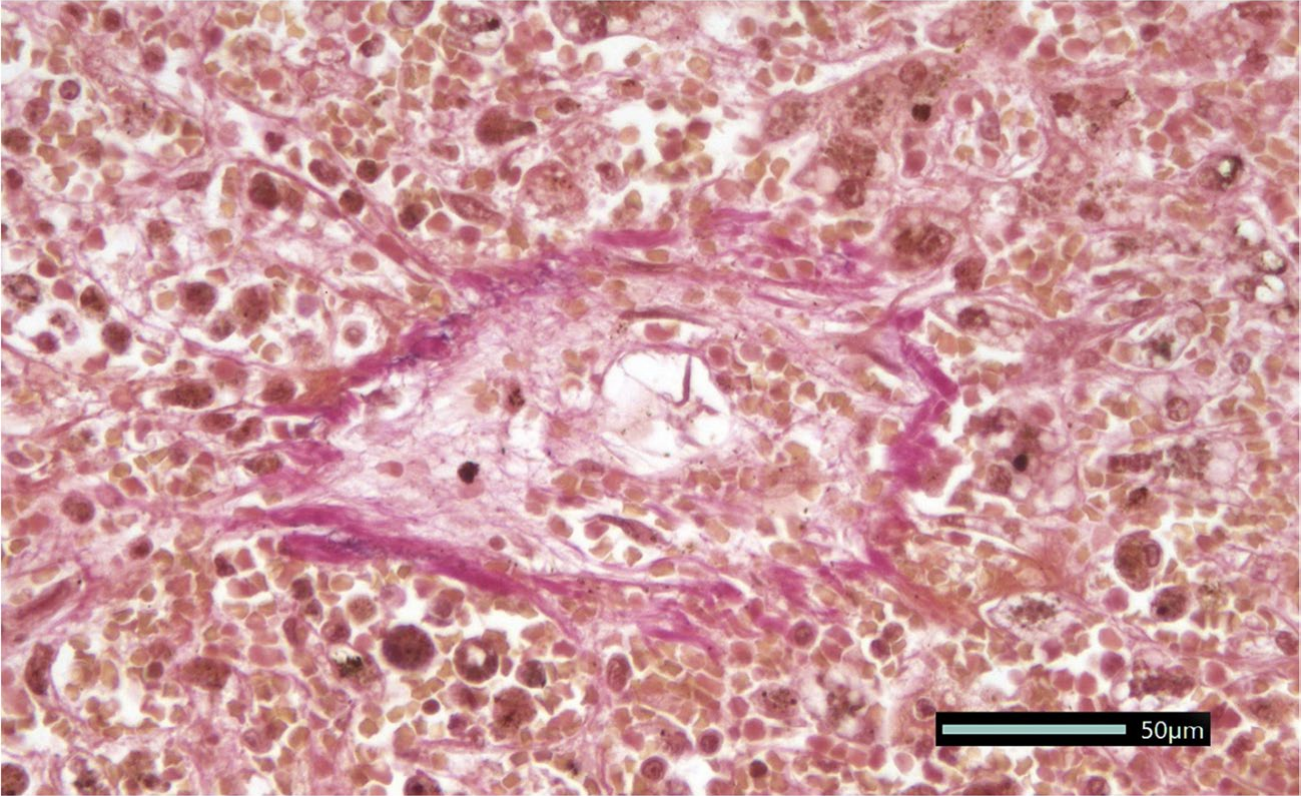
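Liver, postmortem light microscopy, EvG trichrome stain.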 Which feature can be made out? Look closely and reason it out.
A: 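A pale, loosely textured area sits in the middle of the field. Bundles of pink-magenta fibres surround this central area. Liver cell plates lie all around it. That points to this answer: central vein.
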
